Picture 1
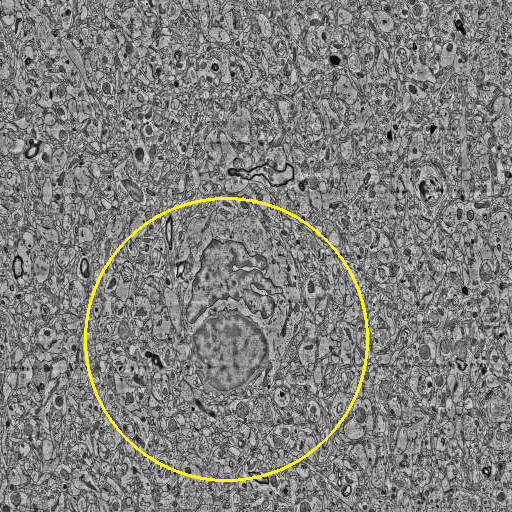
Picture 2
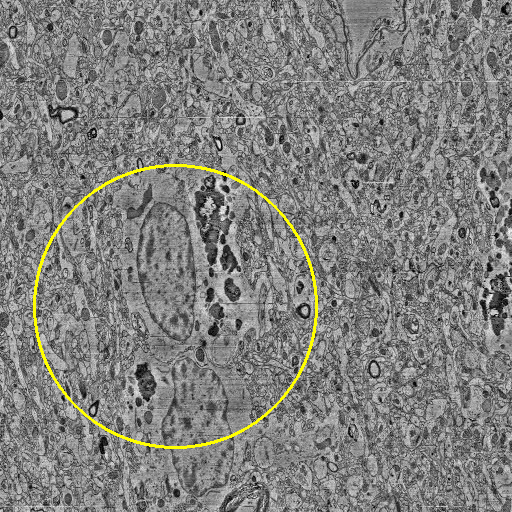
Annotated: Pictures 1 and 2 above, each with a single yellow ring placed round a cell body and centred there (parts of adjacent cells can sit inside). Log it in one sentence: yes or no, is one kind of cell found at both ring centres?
No, the ring centres of the two pictures hold cells of two kinds.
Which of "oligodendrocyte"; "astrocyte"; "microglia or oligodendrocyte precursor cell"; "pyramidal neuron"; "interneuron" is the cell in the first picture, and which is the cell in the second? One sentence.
The two differ: the first cell is an oligodendrocyte and the second is an astrocyte.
